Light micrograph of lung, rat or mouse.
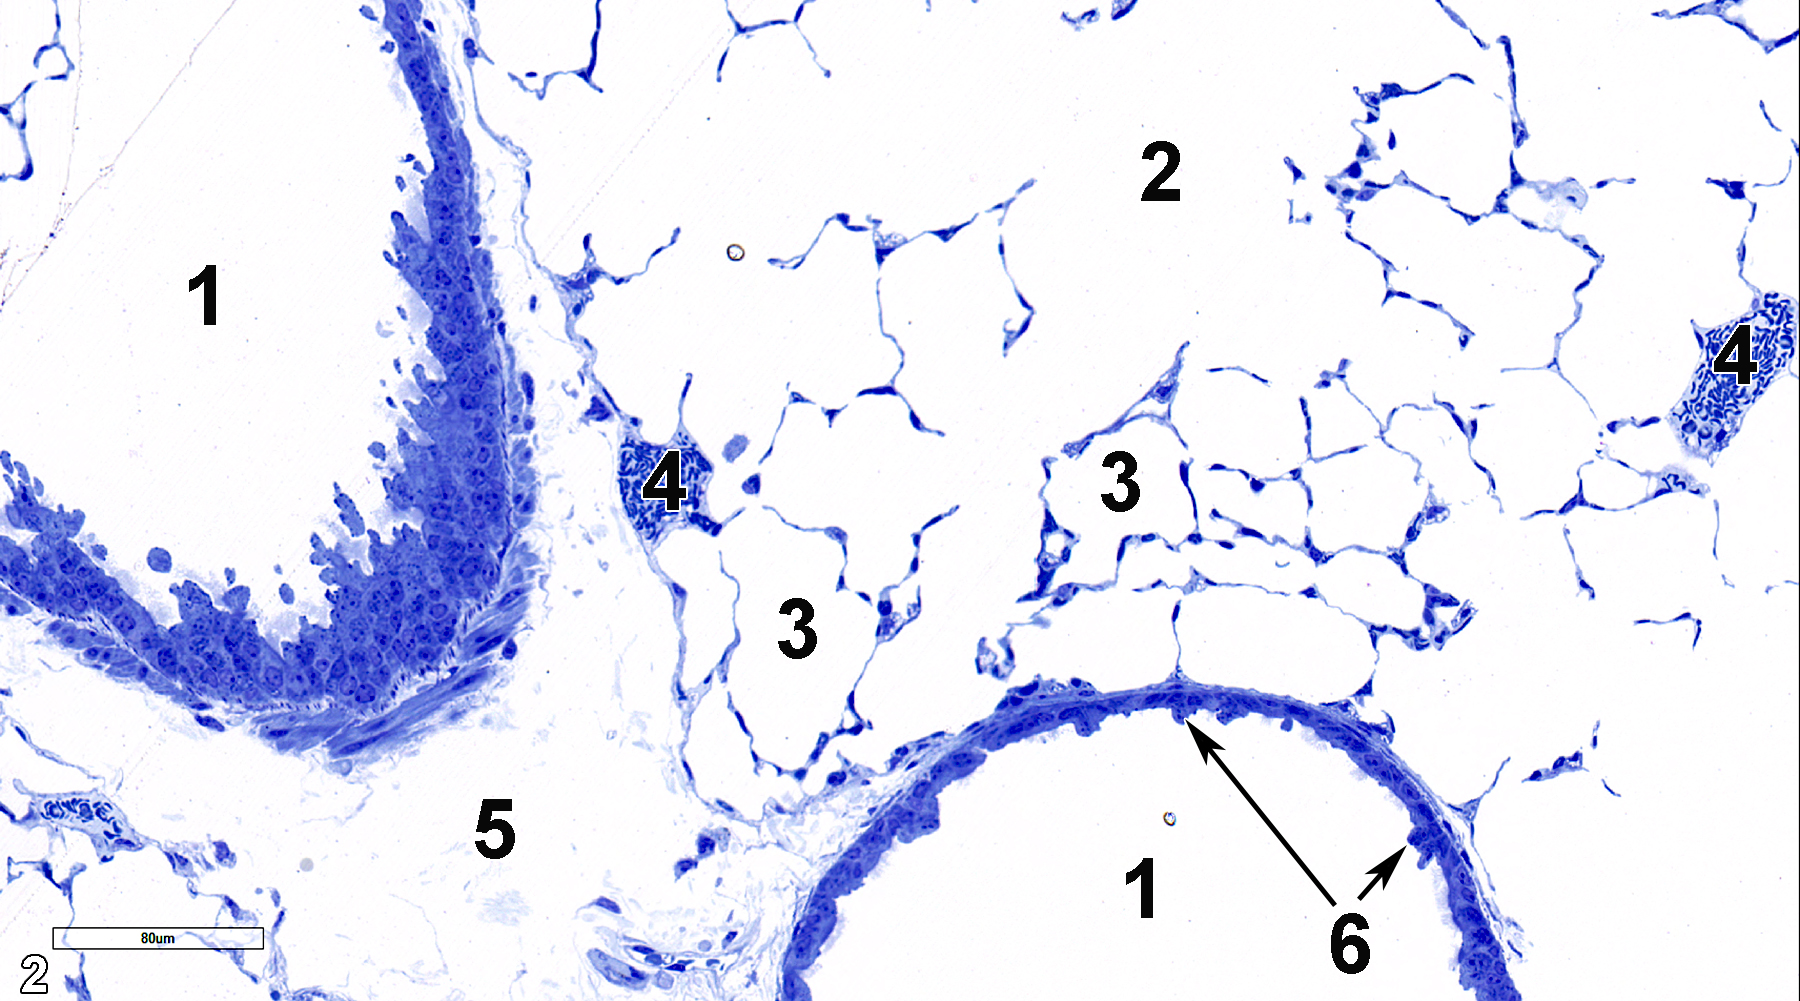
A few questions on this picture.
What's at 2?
The number 2 marks the alveolar ducts.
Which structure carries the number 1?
At 1: terminal bronchioles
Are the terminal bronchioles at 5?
No. The connective tissue septum.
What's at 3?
3 marks the alveoli.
